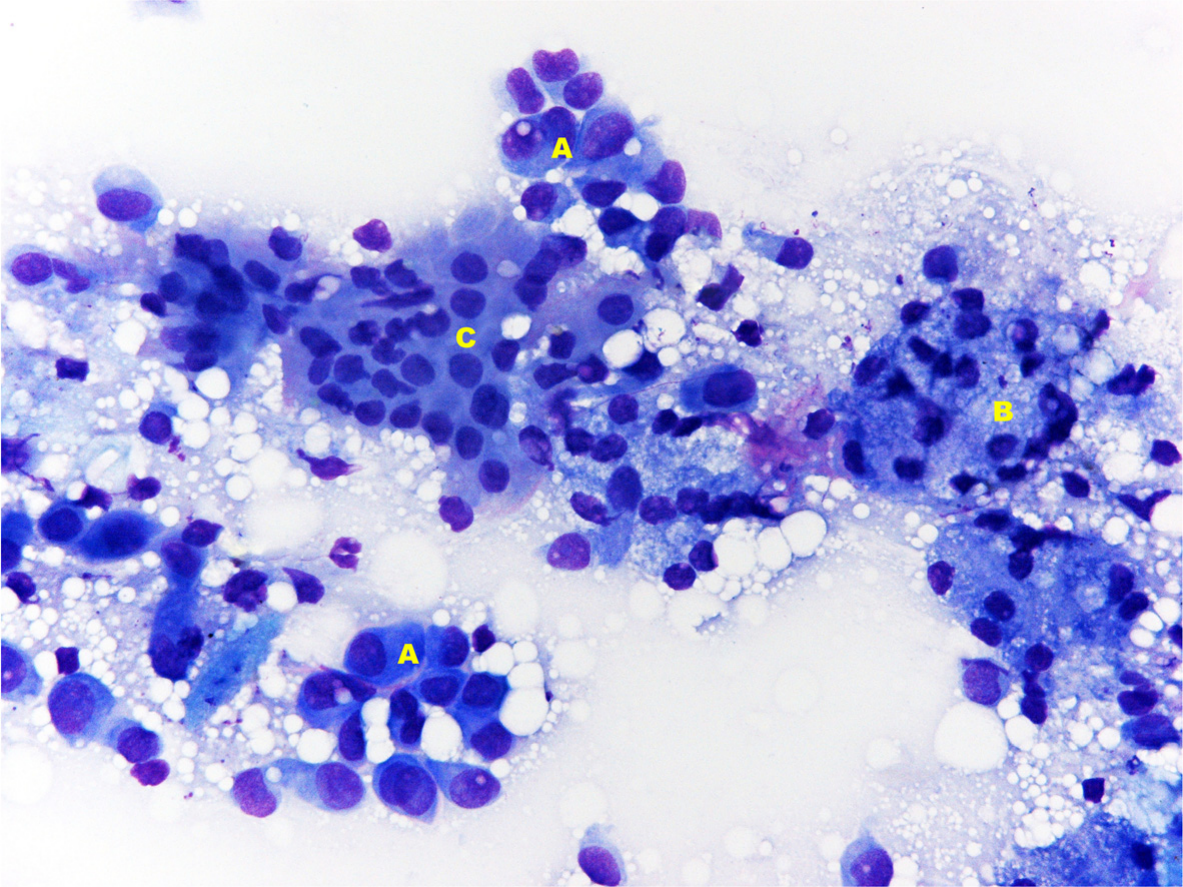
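This smear shows several groups of cells on a background full of clear round vacuoles. On the right a cluster of cells with abundant pale blue, finely granular cytoplasm and small dark round nuclei fits acinar cells of the salivary gland. In the centre a flat, cohesive sheet of evenly spaced, uniform oval nuclei with scant blue cytoplasm fits ductal cells.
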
